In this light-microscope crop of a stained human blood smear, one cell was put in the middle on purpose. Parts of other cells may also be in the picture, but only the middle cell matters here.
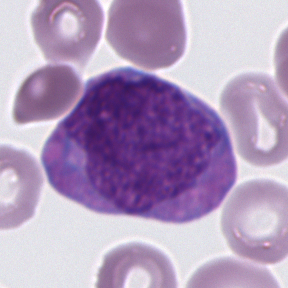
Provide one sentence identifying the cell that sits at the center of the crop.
The cell around which this crop is centred is an atypical promyelocyte.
